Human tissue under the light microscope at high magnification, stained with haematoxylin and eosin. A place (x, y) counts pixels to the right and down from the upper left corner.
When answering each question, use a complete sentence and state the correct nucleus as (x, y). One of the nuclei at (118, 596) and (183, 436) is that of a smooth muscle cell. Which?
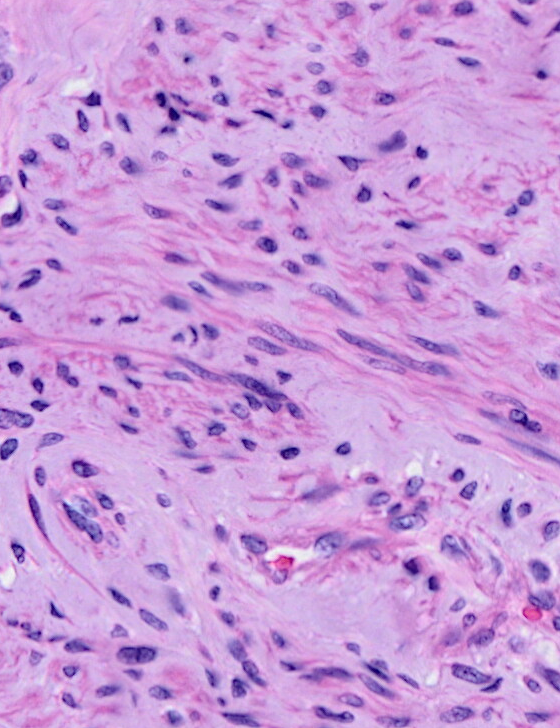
The nucleus at (183, 436), rather than the other one, belongs to a smooth muscle cell.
